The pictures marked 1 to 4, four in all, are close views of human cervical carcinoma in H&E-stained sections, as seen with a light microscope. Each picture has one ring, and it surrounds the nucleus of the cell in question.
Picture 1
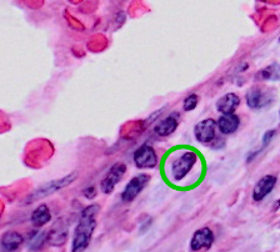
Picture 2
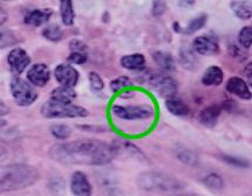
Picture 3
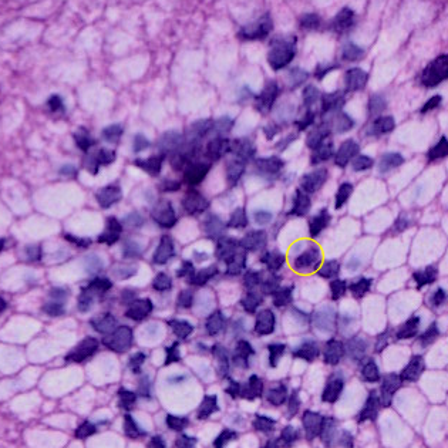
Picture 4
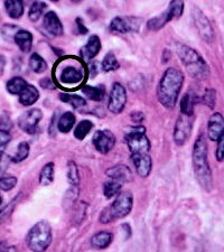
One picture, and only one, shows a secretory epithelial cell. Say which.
3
